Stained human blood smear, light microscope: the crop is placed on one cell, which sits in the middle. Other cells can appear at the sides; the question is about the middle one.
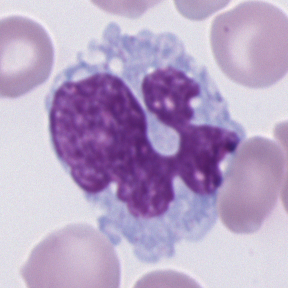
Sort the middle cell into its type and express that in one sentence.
The cell that lies at the centre of the crop is a monocyte.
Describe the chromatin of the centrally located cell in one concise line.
The chromatin is fine, with no coarse clumping anywhere.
